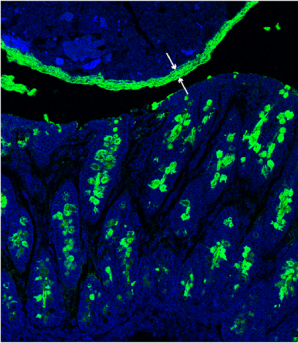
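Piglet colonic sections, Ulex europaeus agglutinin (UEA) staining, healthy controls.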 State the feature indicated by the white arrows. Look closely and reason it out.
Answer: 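Inner mucus layer. A continuous bright green band runs along the surface of the mucosa. The two arrows point to the two edges of this band, across its thickness. A narrow dark gap separates the band from the epithelial surface below it.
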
